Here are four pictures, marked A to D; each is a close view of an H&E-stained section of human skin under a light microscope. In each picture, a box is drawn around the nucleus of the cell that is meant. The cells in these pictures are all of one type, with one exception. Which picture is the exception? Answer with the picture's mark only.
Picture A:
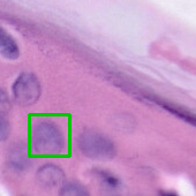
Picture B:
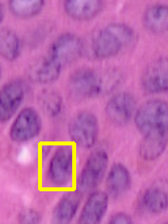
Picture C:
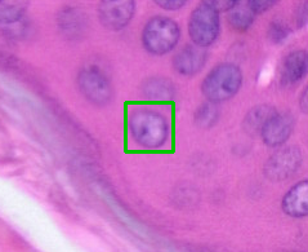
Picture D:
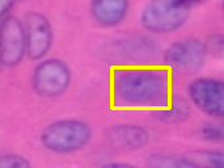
B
